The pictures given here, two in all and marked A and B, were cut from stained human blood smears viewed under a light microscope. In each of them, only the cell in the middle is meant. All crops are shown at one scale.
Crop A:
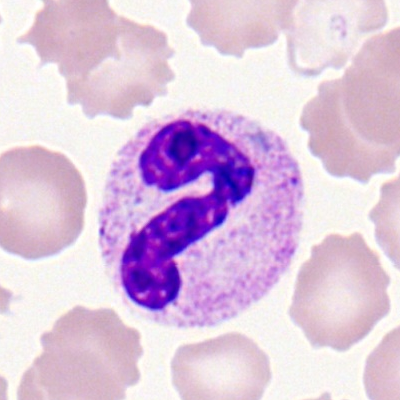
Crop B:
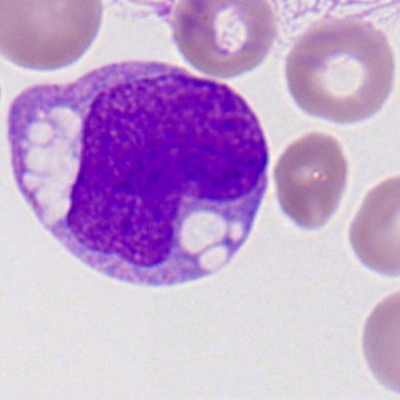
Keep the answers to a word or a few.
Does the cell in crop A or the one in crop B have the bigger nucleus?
B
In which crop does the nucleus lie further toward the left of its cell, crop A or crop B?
A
